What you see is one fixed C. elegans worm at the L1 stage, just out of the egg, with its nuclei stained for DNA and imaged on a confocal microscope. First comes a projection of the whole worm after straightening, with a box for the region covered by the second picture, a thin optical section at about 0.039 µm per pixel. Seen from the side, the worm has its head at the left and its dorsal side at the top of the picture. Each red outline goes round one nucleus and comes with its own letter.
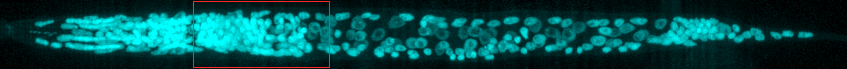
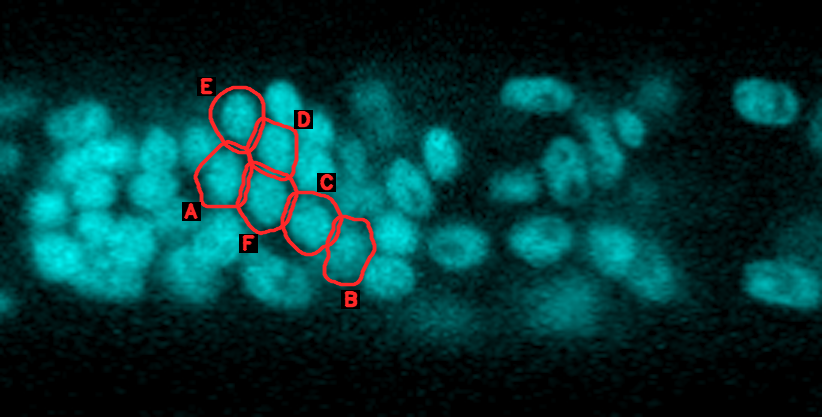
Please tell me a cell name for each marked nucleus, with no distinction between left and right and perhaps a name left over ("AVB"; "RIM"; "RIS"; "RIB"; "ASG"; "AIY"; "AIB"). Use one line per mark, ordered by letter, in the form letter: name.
A: RIB
B: RIS
C: AIY
D: AVB
E: ASG
F: RIM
